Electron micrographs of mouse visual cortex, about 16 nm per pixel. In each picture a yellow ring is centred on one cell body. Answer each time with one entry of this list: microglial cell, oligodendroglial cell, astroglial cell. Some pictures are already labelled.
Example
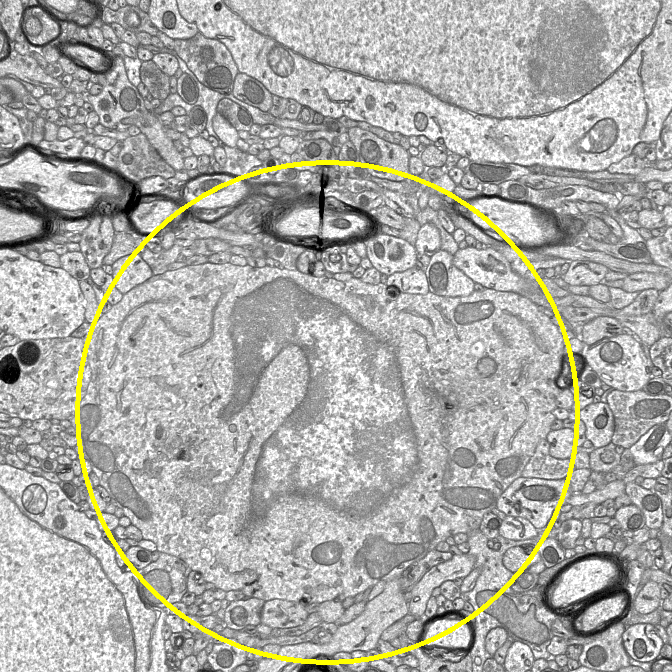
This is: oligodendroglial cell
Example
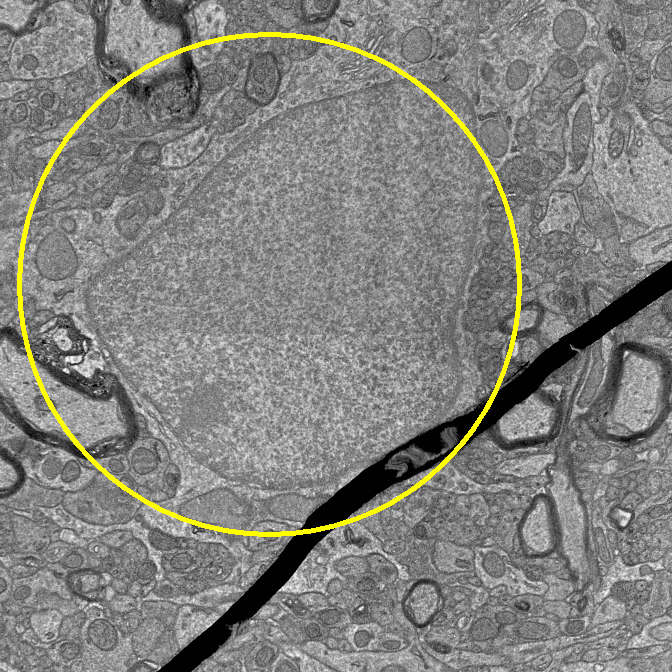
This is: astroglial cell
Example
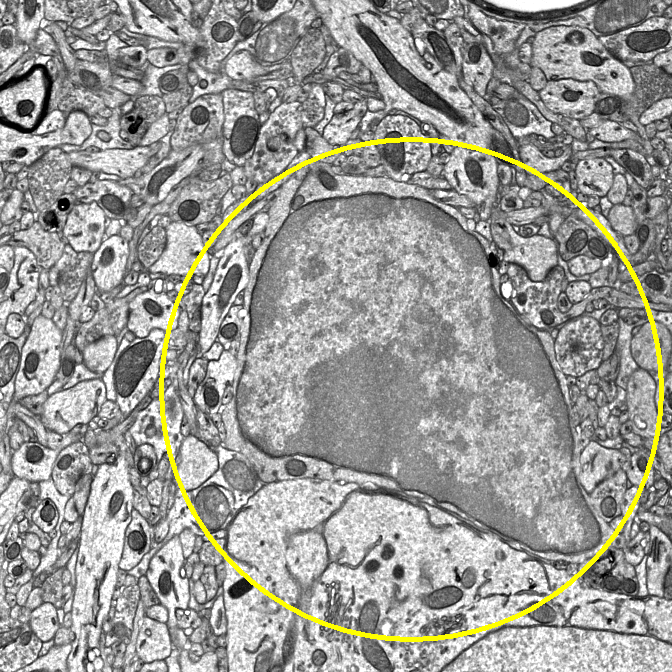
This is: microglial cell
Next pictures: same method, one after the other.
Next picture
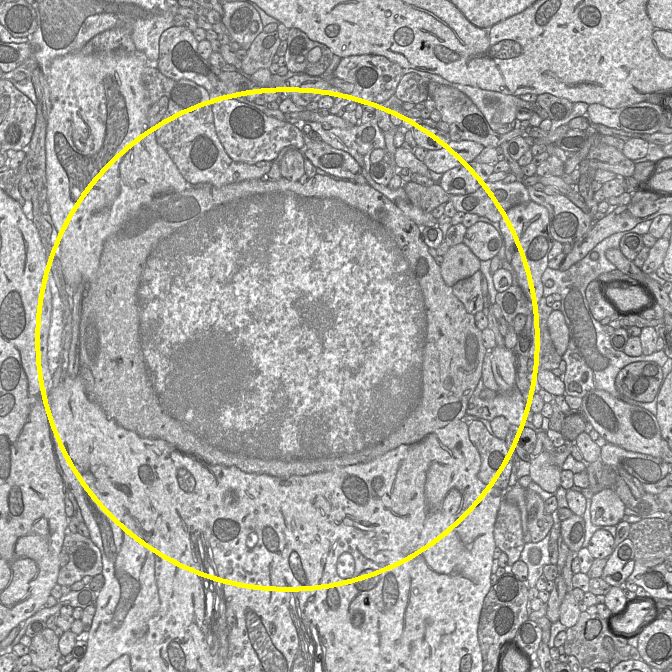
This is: oligodendroglial cell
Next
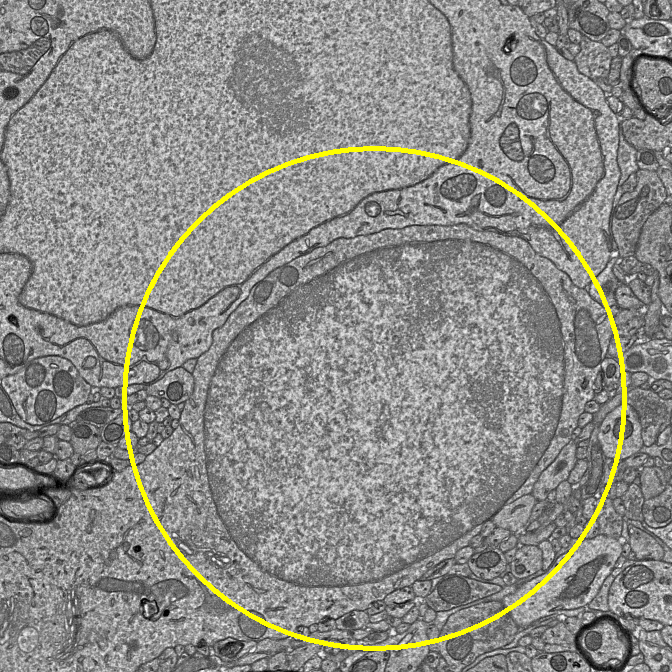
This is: oligodendroglial cell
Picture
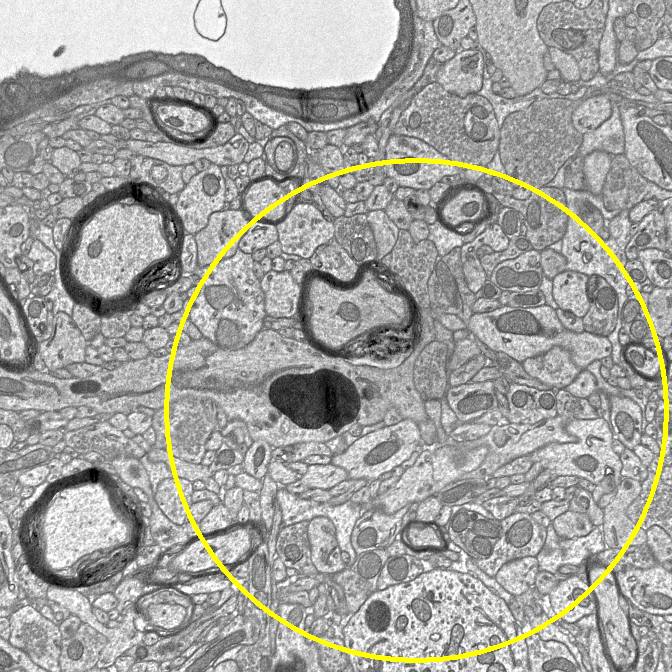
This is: microglial cell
